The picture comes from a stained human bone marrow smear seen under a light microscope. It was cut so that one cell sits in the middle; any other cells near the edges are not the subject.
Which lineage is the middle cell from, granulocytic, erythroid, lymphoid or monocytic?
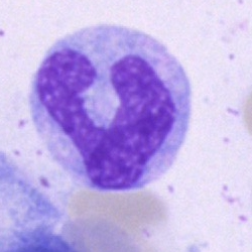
monocytic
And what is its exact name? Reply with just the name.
monocyte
